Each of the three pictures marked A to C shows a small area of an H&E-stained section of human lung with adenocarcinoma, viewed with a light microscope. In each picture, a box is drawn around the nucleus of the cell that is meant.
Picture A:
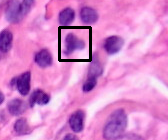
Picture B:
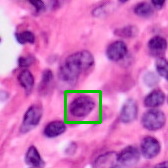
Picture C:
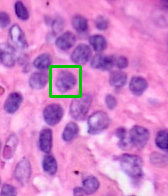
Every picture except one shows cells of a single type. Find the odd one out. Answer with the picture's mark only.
B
